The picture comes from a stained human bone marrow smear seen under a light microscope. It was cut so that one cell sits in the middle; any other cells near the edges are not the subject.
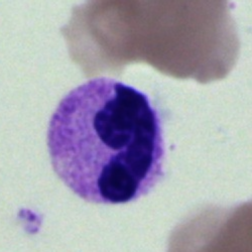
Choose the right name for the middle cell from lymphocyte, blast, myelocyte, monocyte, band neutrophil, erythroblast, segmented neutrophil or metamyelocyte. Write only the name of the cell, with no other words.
segmented neutrophil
